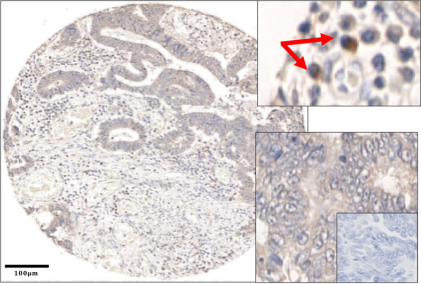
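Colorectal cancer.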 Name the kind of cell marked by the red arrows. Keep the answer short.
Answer: lymphocytes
